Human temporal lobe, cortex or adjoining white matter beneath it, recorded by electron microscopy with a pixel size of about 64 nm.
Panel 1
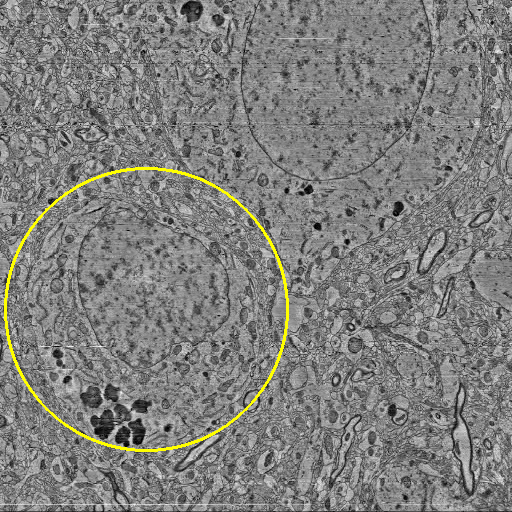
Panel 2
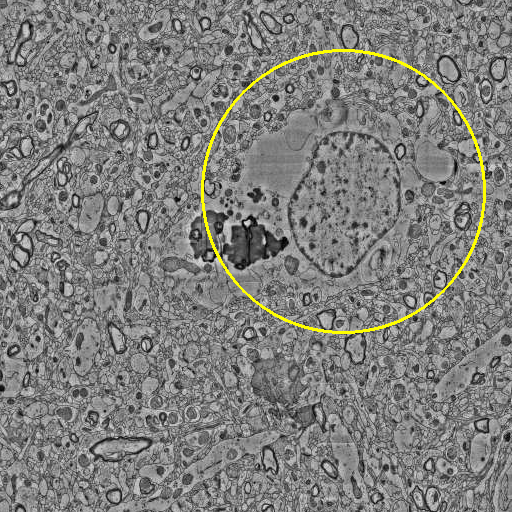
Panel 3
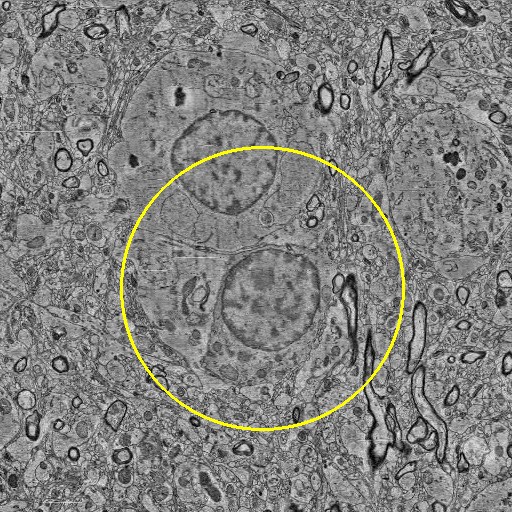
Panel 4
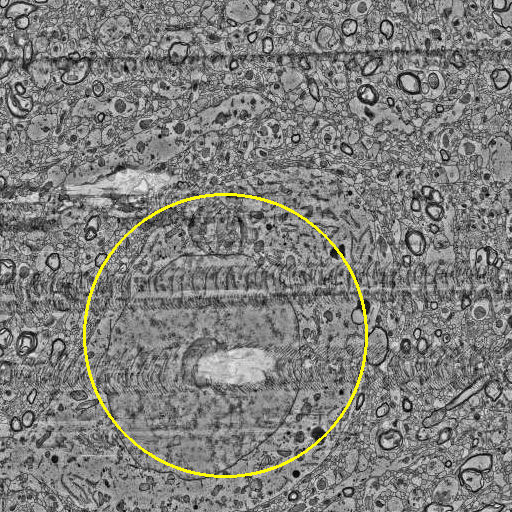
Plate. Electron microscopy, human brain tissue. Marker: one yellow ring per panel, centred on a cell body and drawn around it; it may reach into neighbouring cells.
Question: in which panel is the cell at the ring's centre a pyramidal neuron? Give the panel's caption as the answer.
Panel 4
